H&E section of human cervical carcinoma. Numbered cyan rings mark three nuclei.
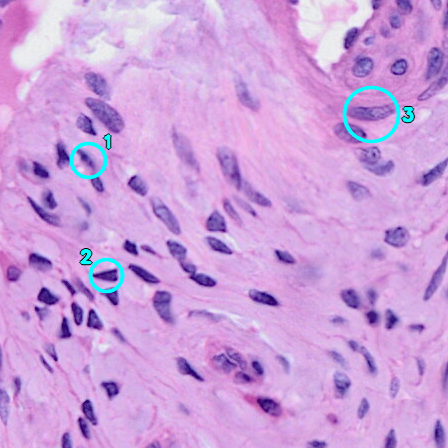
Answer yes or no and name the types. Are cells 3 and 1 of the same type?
No, cell 3 is a smooth muscle cell and cell 1 is a fibroblast.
